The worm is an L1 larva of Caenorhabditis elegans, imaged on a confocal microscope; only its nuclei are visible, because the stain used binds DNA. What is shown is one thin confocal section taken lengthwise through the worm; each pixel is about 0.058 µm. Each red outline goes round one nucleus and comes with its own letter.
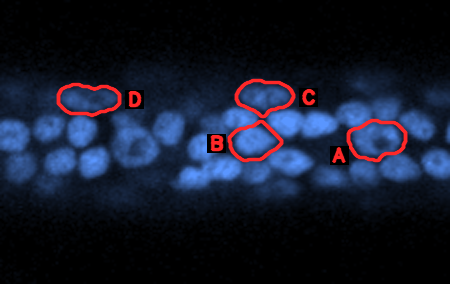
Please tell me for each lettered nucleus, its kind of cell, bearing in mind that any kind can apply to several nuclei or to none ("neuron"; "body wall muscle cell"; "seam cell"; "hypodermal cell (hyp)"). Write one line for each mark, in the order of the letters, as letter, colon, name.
A: seam cell
B: neuron
C: body wall muscle cell
D: body wall muscle cell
